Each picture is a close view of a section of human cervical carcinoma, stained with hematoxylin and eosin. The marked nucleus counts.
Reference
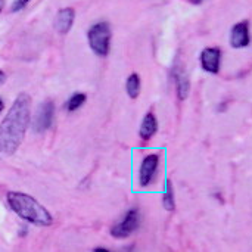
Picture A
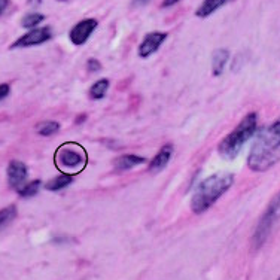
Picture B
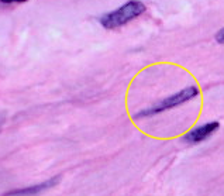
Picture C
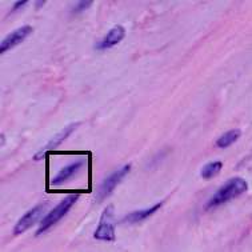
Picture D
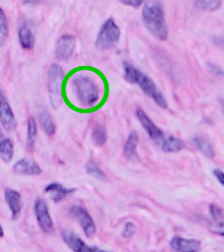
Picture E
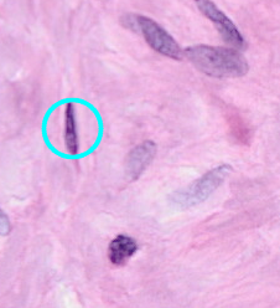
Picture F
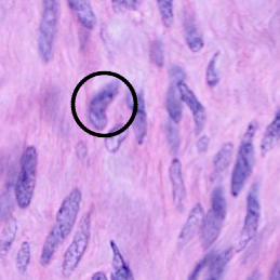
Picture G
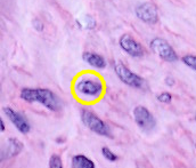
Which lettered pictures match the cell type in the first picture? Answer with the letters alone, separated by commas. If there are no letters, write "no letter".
B, C, E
